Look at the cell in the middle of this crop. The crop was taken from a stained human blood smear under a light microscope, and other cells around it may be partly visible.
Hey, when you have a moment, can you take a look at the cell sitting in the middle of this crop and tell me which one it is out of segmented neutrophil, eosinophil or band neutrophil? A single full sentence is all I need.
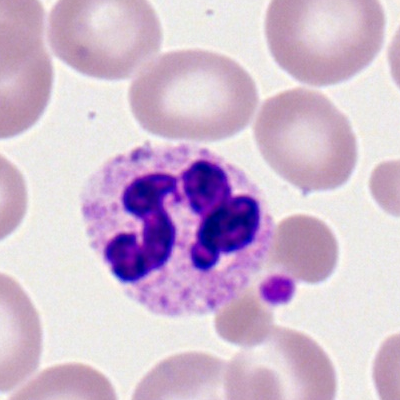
Classification of the middle cell gives a segmented neutrophil.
